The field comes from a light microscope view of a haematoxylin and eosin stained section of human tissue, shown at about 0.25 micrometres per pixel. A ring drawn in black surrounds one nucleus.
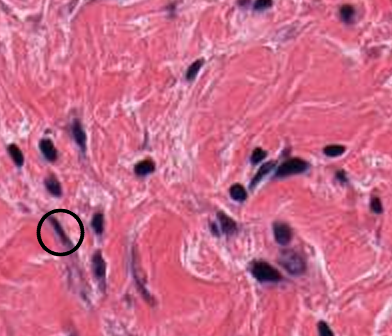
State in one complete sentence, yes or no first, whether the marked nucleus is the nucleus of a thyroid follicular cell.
No, that the marked nucleus belongs to a thyroid follicular cell does not hold; it belongs to a supporting cell.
